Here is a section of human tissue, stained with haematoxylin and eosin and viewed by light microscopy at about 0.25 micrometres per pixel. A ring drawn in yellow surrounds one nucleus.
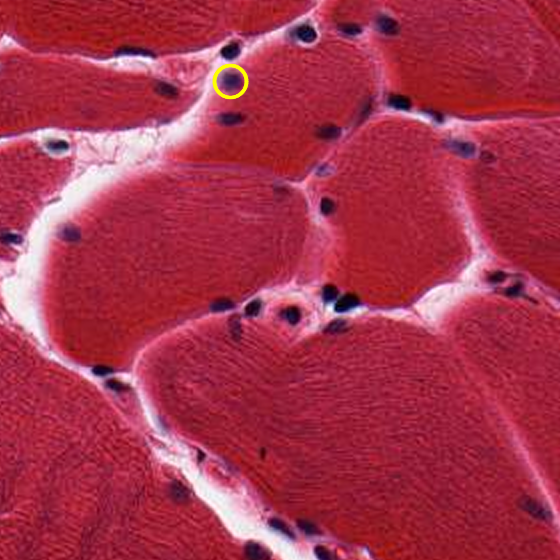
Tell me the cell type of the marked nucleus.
skeletal muscle fibre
